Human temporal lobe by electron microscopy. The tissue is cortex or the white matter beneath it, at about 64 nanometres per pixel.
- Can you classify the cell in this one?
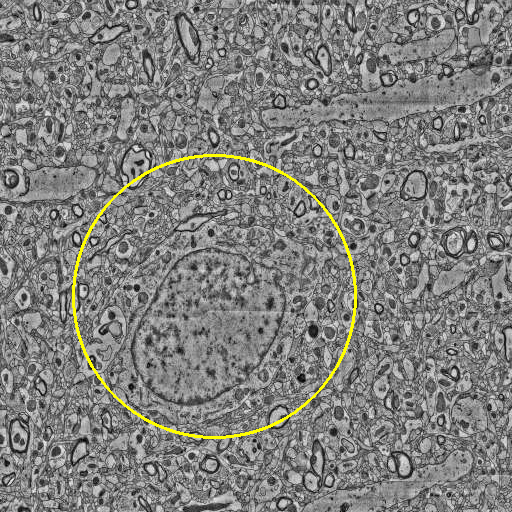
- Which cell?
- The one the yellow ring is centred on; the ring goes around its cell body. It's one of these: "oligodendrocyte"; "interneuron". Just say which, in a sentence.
The cell body in the ring belongs to an interneuron.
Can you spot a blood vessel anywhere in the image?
No, no blood vessel shows in the picture.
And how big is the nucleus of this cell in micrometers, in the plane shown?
Approximately 11 by 8 micrometers in this plane.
